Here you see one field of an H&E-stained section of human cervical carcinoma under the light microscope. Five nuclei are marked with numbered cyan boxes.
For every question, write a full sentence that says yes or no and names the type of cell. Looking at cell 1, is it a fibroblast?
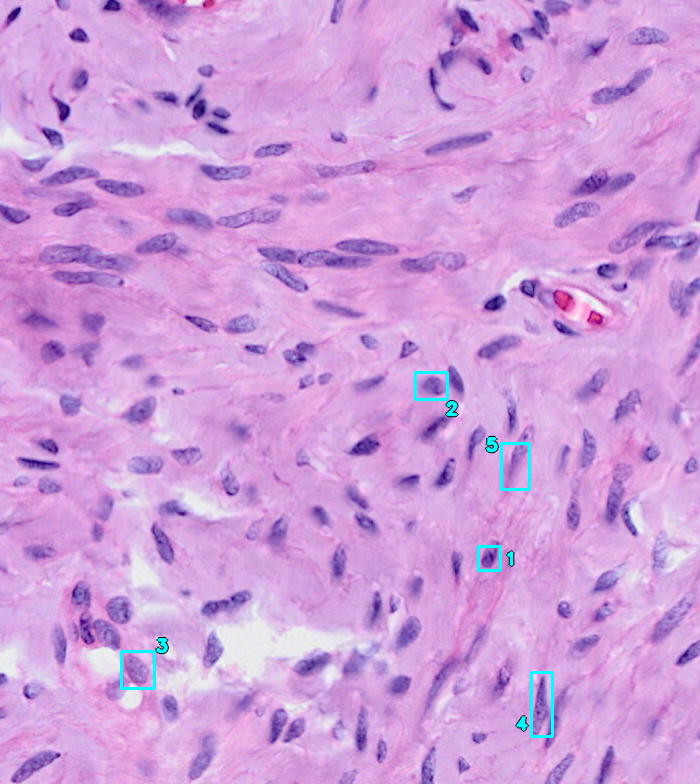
No, the cell carrying number 1 is a smooth muscle cell, not a fibroblast.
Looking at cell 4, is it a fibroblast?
Yes, it checks out; the cell labelled 4 is a fibroblast.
